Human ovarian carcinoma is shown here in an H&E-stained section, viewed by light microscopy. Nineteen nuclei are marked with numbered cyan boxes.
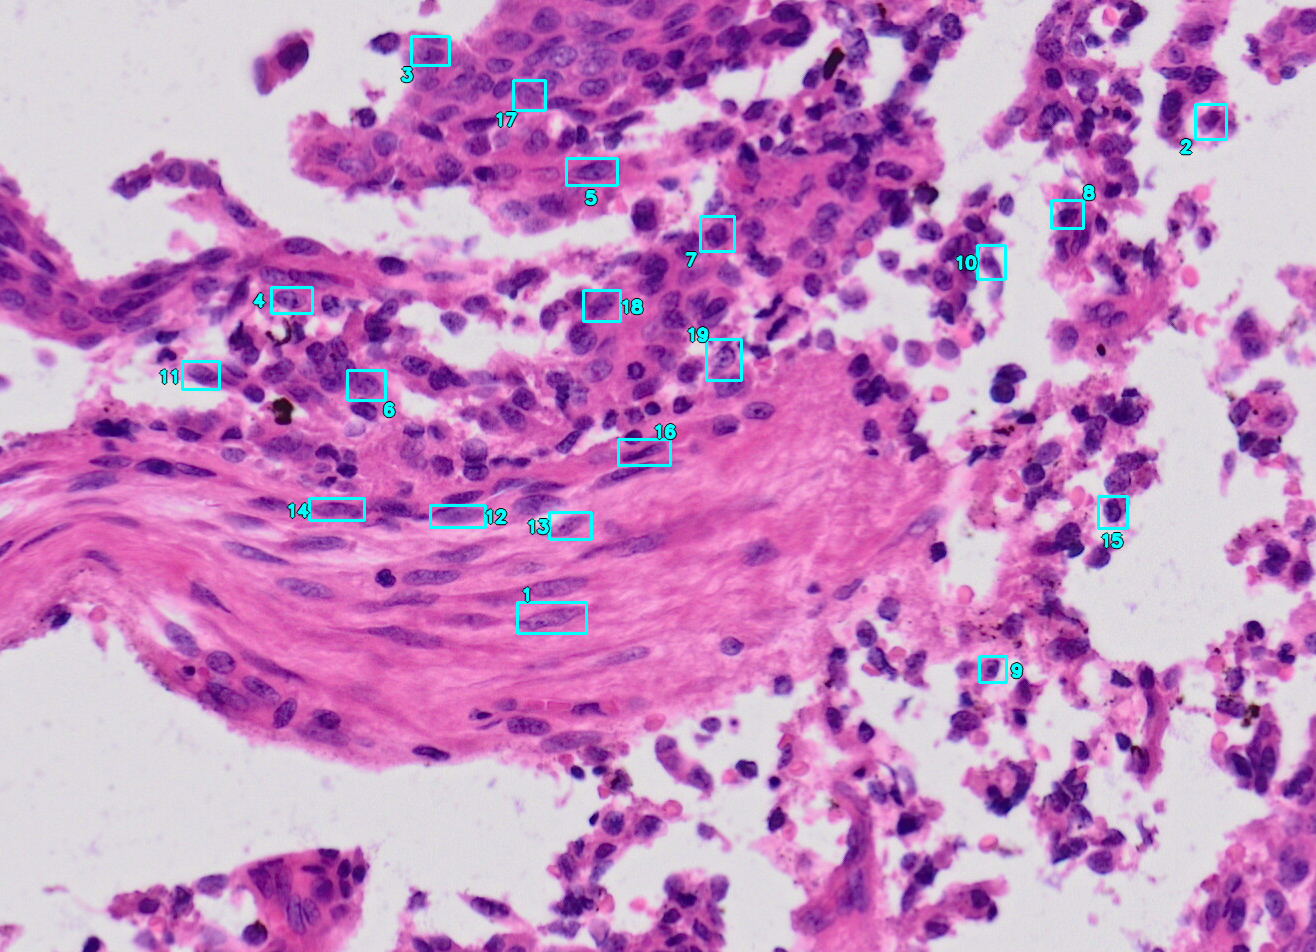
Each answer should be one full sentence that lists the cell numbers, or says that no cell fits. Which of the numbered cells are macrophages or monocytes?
The cells shown with numbers 2, 4, 8, 9, 15 and 19 are macrophages or monocytes.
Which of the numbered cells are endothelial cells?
The numbers 5, 12, 14 and 16 mark cells that are endothelial cells.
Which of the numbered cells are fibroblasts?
Cells 1 and 13 share one type; they are fibroblasts.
